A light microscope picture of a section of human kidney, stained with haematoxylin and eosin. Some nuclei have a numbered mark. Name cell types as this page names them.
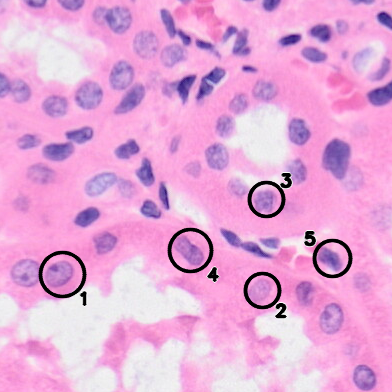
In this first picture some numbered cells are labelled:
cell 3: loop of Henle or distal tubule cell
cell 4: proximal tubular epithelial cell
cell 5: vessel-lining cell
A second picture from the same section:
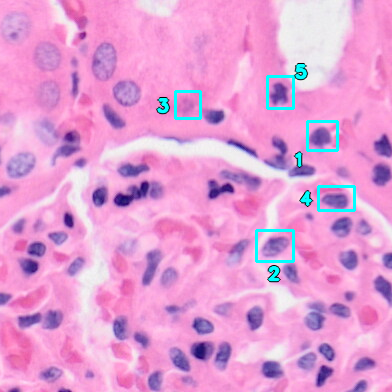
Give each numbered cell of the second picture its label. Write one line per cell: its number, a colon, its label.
1: vessel-lining cell
2: vessel-lining cell
3: proximal tubular epithelial cell
4: vessel-lining cell
5: loop of Henle or distal tubule cell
